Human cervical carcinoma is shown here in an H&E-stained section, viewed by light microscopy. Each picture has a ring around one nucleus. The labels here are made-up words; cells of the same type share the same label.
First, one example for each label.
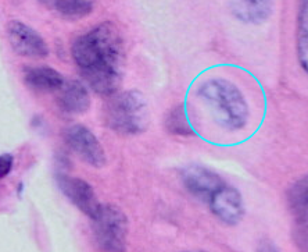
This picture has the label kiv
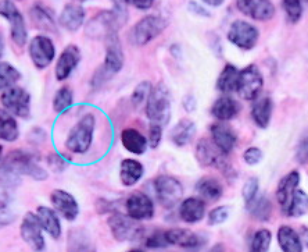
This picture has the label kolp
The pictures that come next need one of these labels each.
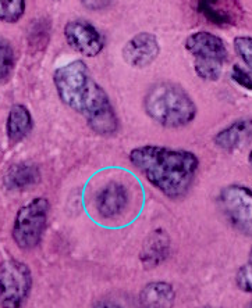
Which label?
kiv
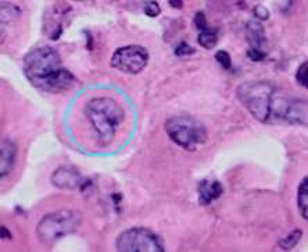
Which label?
kiv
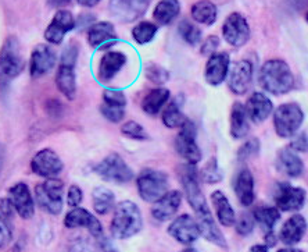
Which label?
kolp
